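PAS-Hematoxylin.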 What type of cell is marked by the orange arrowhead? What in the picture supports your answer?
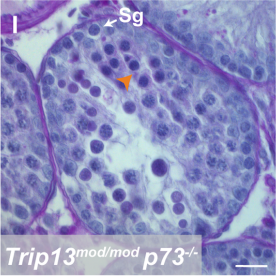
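The marked cell has a dark, shrunken, densely stained nucleus. Several similar dark cells lie scattered in the tubule. On this evidence: condensed spermatocytes.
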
